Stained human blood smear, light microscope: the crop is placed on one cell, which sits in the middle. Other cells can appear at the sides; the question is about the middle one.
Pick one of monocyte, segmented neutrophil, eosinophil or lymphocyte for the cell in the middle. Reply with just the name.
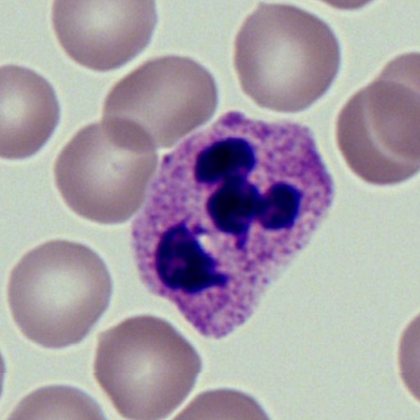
segmented neutrophil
